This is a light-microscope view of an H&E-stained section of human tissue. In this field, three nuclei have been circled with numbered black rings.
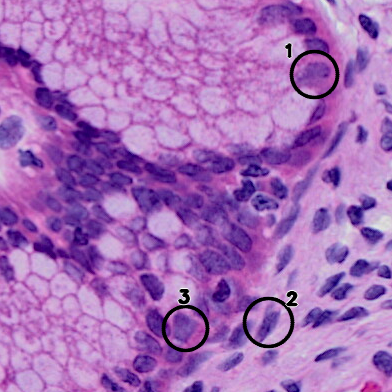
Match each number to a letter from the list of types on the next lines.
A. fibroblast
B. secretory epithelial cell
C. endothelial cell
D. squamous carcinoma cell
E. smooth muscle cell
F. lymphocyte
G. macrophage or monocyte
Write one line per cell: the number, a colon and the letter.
1: B
2: A
3: B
